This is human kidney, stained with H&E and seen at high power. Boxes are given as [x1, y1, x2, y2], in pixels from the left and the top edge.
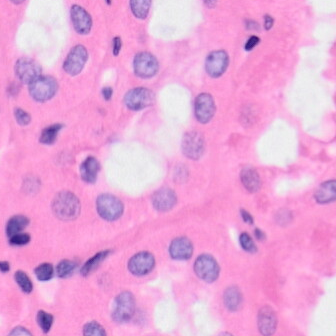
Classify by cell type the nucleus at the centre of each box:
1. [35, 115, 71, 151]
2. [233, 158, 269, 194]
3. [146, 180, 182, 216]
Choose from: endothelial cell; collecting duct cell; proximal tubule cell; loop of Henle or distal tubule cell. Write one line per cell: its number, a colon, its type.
1: endothelial cell
2: proximal tubule cell
3: loop of Henle or distal tubule cell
